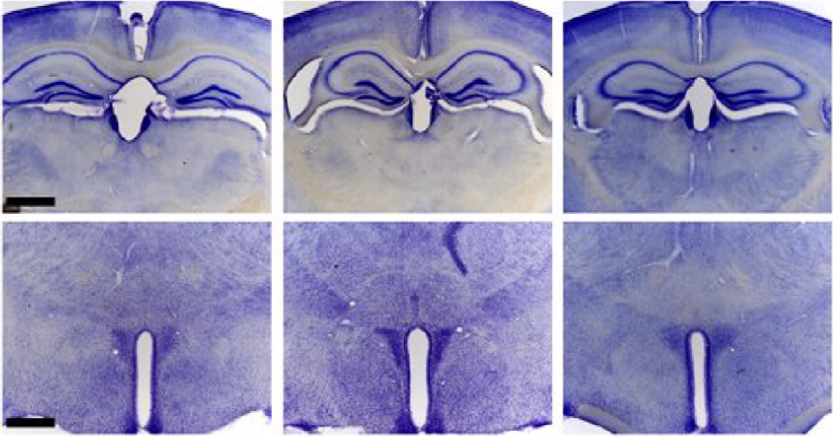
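The upper row shows the cerebral cortex across the top, and beneath it on each side the curved, densely stained cell bands of the hippocampus, with white ventricular spaces along the midline and beneath the hippocampus. The lower row shows the hypothalamus at the base of the brain, where a slit-like midline ventricle is bordered by more densely stained tissue. The three sections in each row have a similar layout and show no obvious malformation.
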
